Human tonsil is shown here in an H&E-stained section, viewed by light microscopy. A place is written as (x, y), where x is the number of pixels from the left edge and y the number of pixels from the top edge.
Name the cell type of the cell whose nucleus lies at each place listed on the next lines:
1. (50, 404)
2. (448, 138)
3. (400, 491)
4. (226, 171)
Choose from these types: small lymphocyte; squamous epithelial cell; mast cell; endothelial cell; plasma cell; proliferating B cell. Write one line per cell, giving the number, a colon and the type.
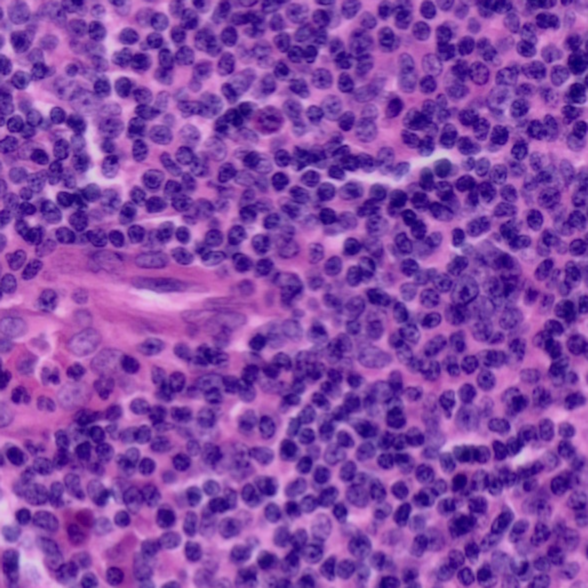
1: endothelial cell
2: small lymphocyte
3: small lymphocyte
4: small lymphocyte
